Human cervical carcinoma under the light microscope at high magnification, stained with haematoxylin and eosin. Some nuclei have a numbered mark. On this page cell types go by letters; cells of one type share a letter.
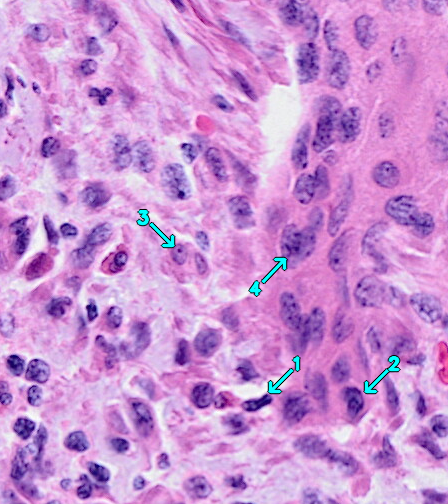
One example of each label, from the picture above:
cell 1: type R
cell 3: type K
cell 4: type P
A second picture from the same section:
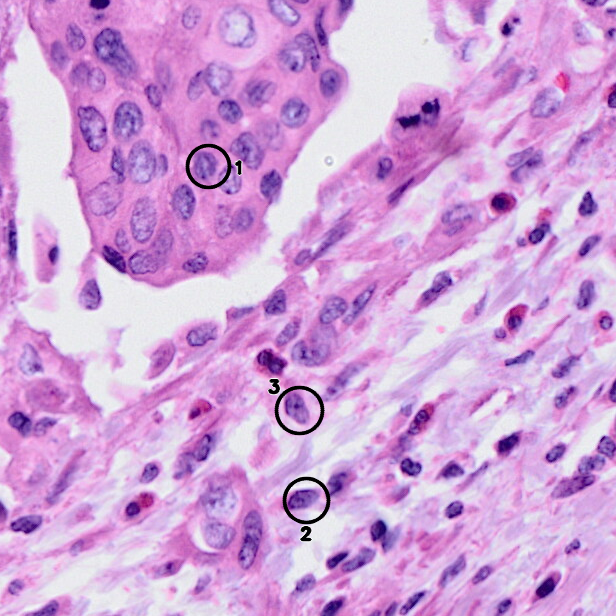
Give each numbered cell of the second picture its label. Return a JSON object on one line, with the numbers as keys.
{"1": "type P", "2": "type K", "3": "type K"}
